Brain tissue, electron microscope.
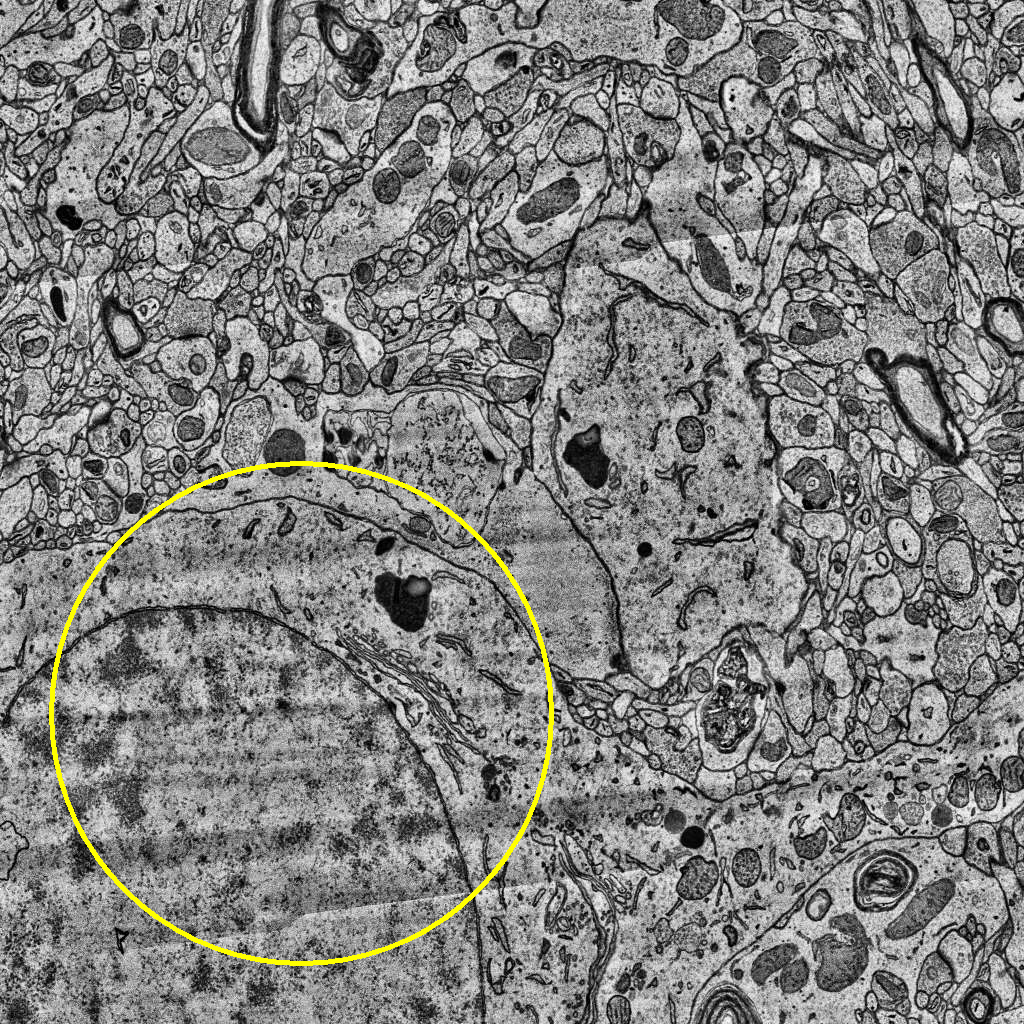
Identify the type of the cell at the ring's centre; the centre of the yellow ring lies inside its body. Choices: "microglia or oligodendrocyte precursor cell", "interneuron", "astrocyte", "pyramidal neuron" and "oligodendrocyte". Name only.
pyramidal neuron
